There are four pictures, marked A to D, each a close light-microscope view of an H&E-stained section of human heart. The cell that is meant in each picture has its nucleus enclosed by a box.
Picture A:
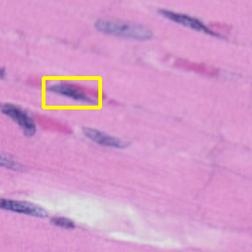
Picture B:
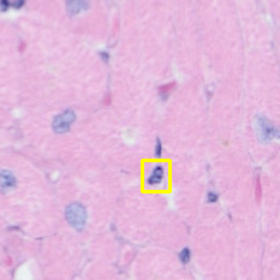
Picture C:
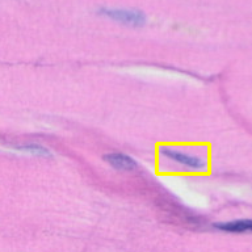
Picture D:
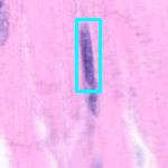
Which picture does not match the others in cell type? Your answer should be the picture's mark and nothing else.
C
